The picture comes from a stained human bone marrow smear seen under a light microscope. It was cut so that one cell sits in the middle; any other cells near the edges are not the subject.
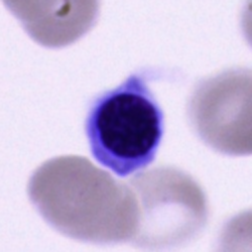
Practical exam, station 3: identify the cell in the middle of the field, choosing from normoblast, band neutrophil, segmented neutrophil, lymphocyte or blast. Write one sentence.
By type, the central cell of the crop is a normoblast.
